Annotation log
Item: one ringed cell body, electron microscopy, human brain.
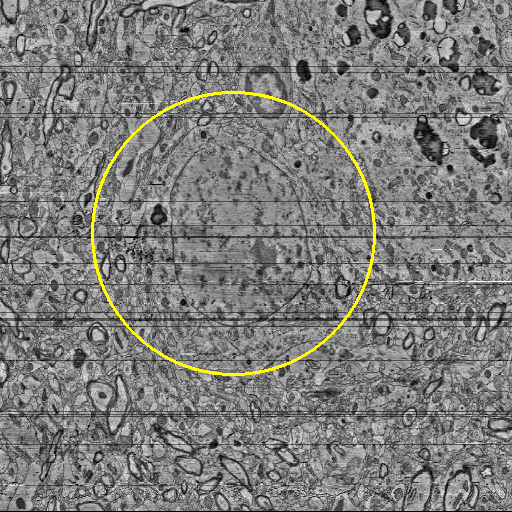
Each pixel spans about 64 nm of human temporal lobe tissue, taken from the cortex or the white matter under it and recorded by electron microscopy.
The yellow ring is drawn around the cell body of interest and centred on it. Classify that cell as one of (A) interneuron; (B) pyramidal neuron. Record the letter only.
B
